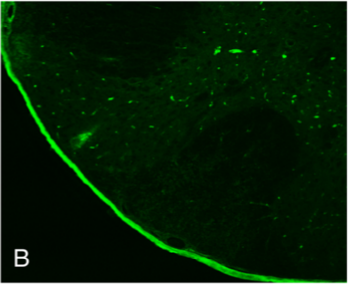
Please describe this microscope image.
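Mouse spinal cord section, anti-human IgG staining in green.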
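The label forms a sharp bright line along the surface membrane. The underlying tissue is dark, with only small scattered green dots and short elongated profiles. No diffuse green band spreads inward from the surface.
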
